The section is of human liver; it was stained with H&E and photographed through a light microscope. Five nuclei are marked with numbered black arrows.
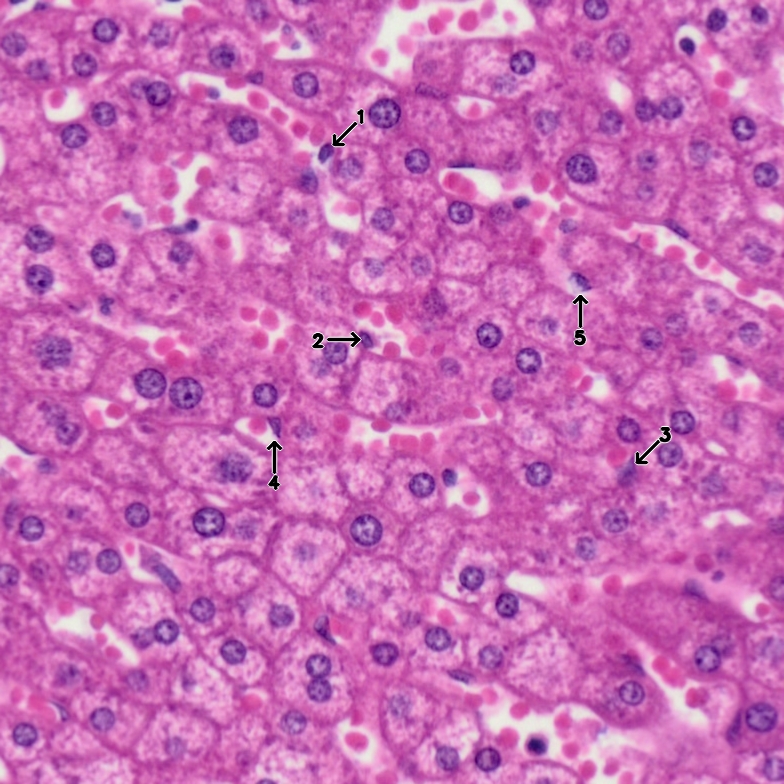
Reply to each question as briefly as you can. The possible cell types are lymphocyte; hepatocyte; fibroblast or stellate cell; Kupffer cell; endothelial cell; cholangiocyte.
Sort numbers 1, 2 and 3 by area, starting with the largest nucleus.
3, 1, 2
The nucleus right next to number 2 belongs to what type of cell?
hepatocyte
